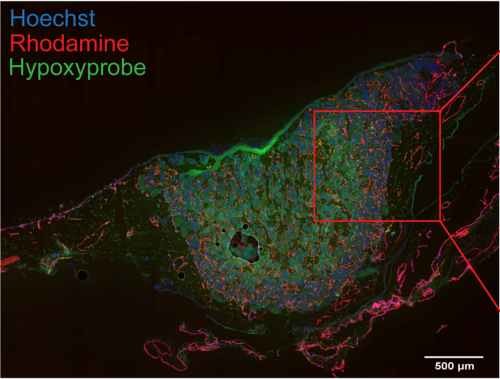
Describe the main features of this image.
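A section of a tumor growing within a thin membrane shows a dense, rounded mass of tightly packed cells with blue nuclei bulging out of the membrane. Red branching and looped vessel profiles are scattered densely through the mass and also run along its lower and outer margins. Diffuse green fluorescence overlies much of the cell mass. A few round clear spaces lie within the lower part of the mass. The thin membrane extends to either side of the mass, with sparser nuclei and elongated red vessel profiles beneath it.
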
